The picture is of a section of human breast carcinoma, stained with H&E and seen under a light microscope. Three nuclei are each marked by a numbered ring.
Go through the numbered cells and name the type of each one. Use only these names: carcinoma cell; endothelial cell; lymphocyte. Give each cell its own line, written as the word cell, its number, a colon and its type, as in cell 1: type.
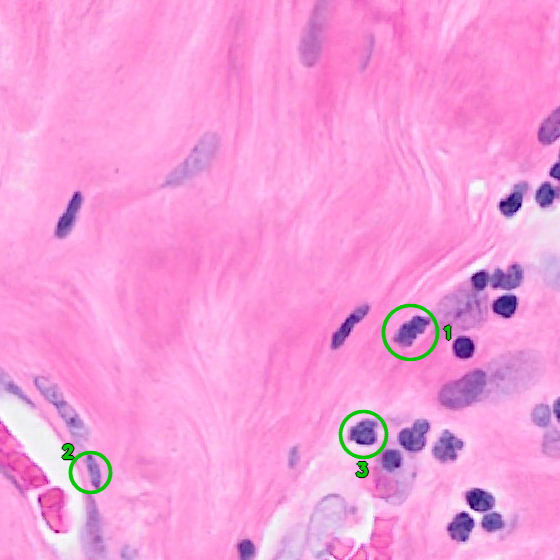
cell 1: lymphocyte
cell 2: endothelial cell
cell 3: lymphocyte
